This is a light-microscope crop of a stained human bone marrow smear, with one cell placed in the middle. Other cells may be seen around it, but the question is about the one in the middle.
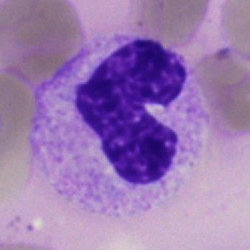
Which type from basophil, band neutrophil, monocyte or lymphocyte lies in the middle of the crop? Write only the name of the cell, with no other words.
band neutrophil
